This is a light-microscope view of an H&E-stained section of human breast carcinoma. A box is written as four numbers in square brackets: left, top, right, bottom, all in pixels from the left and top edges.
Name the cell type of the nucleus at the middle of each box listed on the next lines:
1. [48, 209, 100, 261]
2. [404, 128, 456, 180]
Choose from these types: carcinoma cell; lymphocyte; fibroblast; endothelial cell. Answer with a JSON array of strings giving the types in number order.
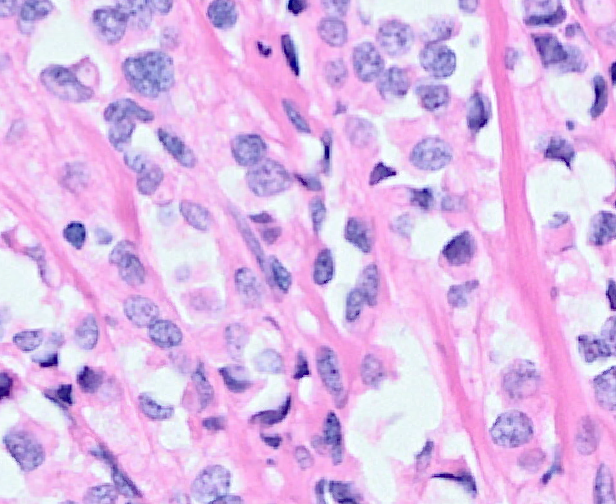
["lymphocyte", "carcinoma cell"]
